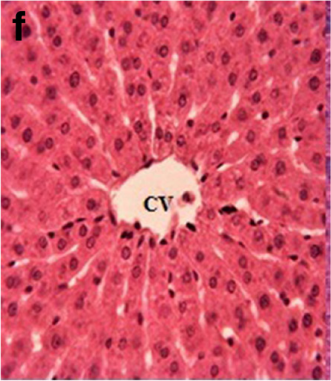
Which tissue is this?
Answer: Hepatic tissues.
